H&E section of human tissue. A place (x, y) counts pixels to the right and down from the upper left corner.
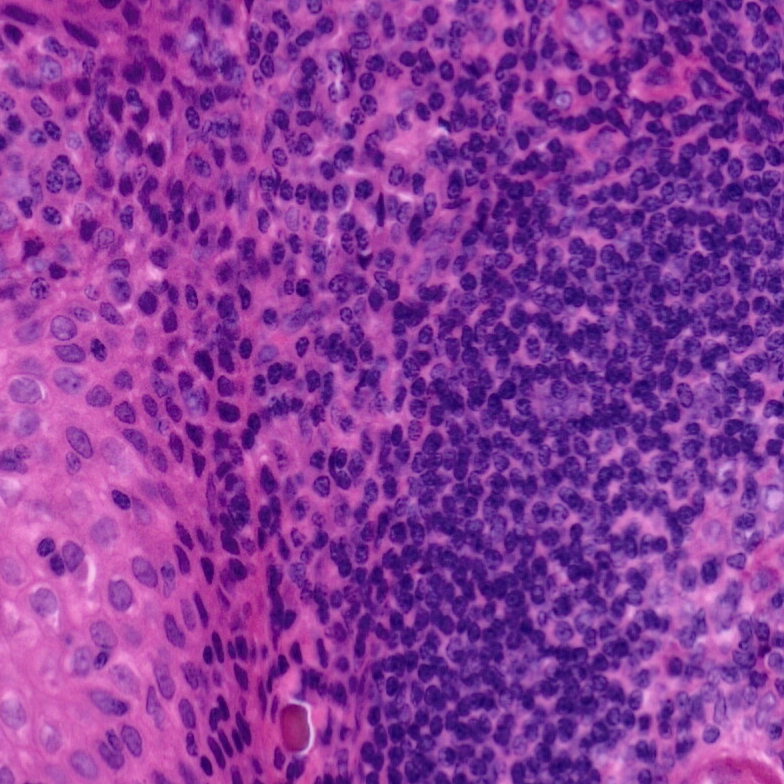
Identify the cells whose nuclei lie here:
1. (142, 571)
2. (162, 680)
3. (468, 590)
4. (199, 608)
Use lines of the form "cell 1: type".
cell 1: squamous epithelial cell
cell 2: squamous epithelial cell
cell 3: small lymphocyte
cell 4: squamous epithelial cell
